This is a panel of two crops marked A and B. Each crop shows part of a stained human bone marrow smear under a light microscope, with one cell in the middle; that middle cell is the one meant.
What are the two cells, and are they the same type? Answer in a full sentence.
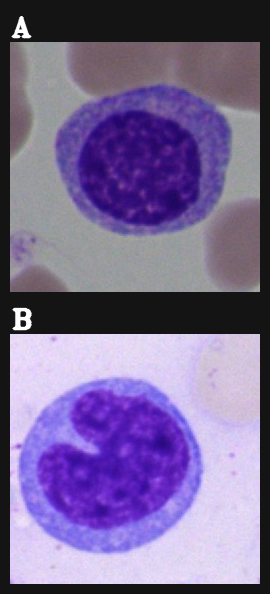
No, the cell centred in crop A is a myelocyte, and that centred in crop B is a monocyte.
